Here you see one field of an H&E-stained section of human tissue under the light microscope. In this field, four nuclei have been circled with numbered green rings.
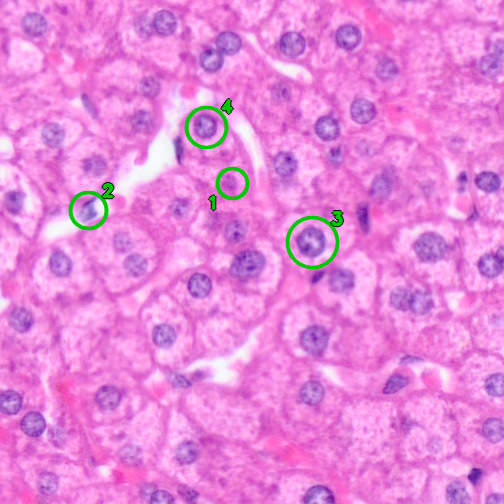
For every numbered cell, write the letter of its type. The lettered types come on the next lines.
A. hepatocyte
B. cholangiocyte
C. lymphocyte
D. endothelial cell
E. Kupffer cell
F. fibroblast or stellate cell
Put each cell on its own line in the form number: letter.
1: A
2: D
3: A
4: A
